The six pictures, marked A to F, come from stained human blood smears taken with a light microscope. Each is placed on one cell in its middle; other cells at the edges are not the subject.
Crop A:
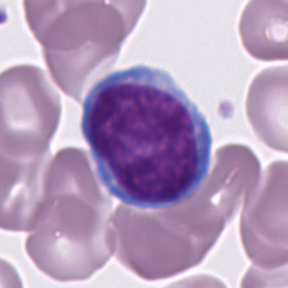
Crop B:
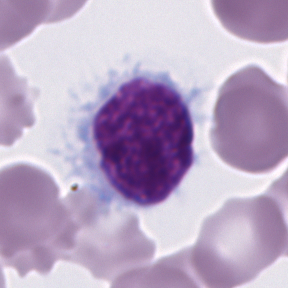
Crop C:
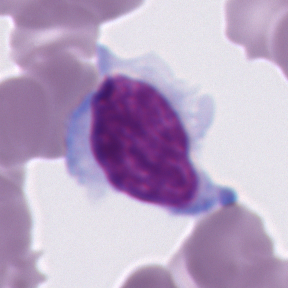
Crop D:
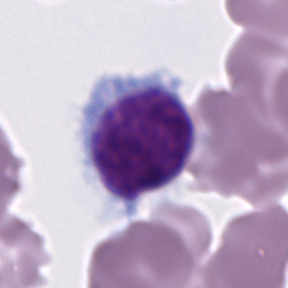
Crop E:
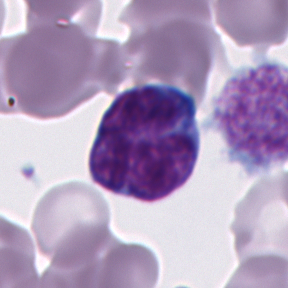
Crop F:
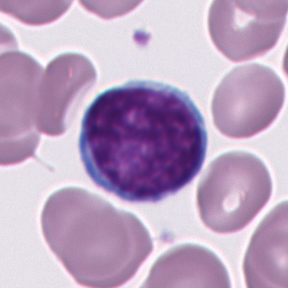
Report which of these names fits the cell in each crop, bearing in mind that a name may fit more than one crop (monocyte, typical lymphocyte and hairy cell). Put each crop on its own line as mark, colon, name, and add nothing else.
A: typical lymphocyte
B: hairy cell
C: hairy cell
D: hairy cell
E: typical lymphocyte
F: typical lymphocyte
